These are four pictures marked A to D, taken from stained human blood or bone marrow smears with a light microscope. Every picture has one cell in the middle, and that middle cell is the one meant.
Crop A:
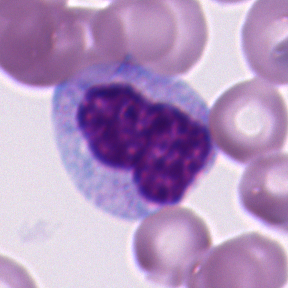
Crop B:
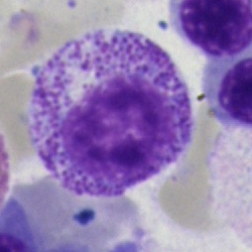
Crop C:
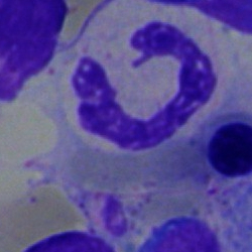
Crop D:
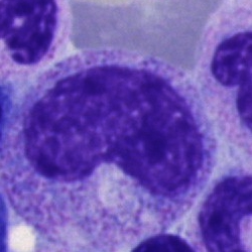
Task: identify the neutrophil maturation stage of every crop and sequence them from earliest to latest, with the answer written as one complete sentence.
Counting from the least mature up to the most mature, the order is crop B (a myelocyte), crop D (a metamyelocyte), crop A (a band neutrophil) and crop C (a segmented neutrophil).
